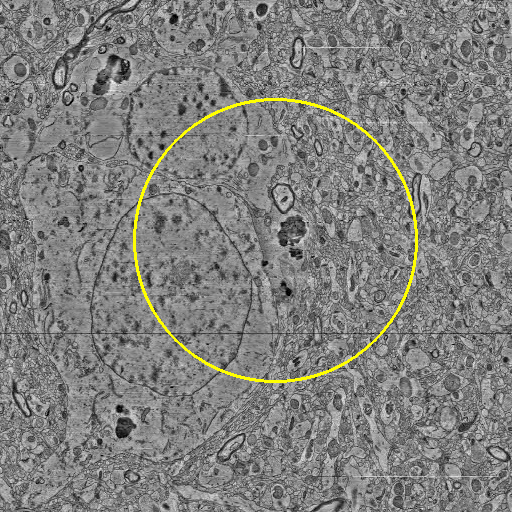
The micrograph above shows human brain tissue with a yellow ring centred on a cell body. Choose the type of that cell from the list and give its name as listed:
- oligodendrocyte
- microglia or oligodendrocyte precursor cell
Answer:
oligodendrocyte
